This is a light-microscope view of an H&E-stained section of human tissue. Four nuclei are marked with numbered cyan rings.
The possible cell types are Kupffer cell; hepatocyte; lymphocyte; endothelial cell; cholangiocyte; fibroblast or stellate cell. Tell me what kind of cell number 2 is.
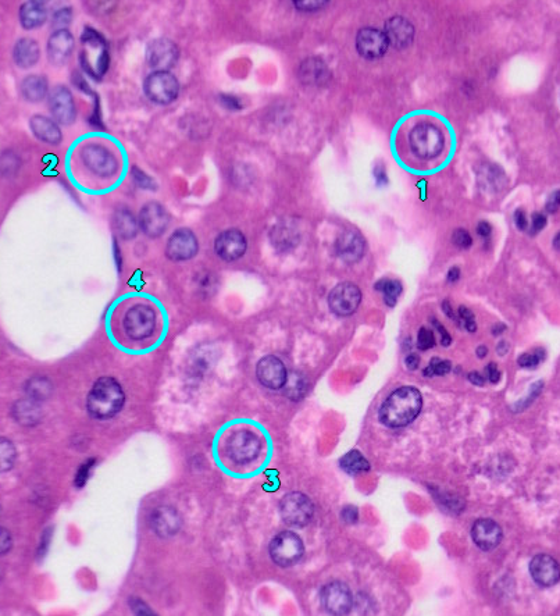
cholangiocyte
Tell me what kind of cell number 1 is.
hepatocyte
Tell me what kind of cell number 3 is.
hepatocyte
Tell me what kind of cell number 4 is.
hepatocyte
